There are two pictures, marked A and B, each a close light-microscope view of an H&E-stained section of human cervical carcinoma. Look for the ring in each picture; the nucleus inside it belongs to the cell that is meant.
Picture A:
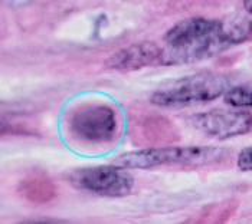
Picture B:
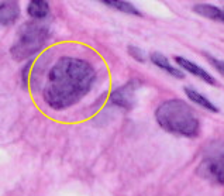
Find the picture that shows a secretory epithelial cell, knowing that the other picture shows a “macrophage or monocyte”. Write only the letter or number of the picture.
B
